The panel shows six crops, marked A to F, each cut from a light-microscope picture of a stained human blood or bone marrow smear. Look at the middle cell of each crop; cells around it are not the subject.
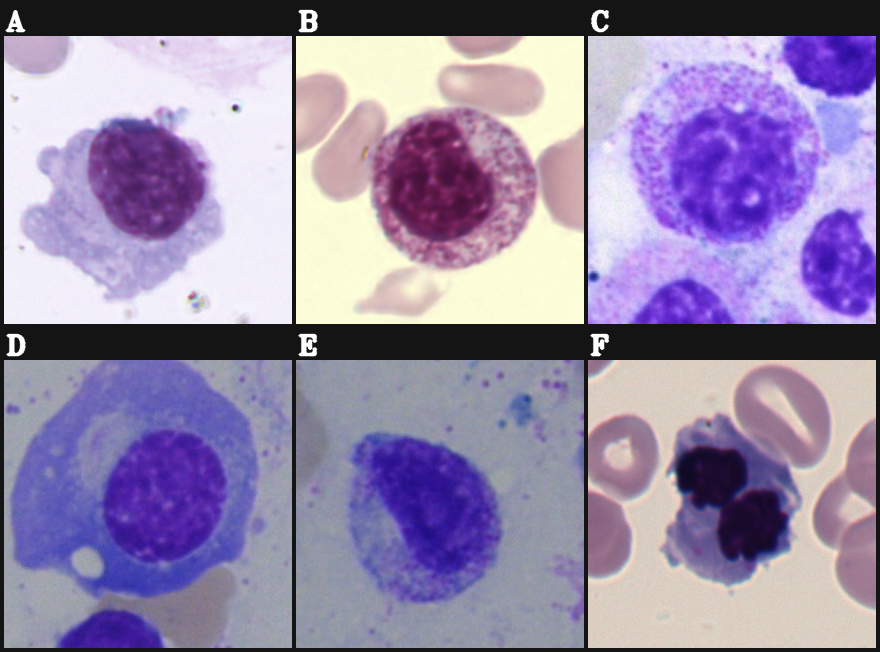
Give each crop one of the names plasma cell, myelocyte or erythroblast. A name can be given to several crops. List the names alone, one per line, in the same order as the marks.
plasma cell
myelocyte
myelocyte
plasma cell
myelocyte
erythroblast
